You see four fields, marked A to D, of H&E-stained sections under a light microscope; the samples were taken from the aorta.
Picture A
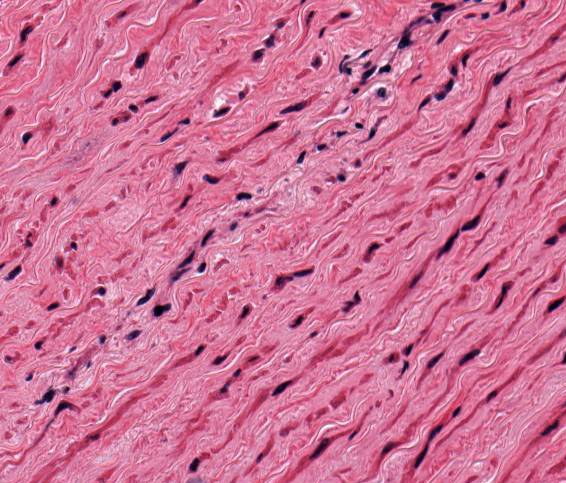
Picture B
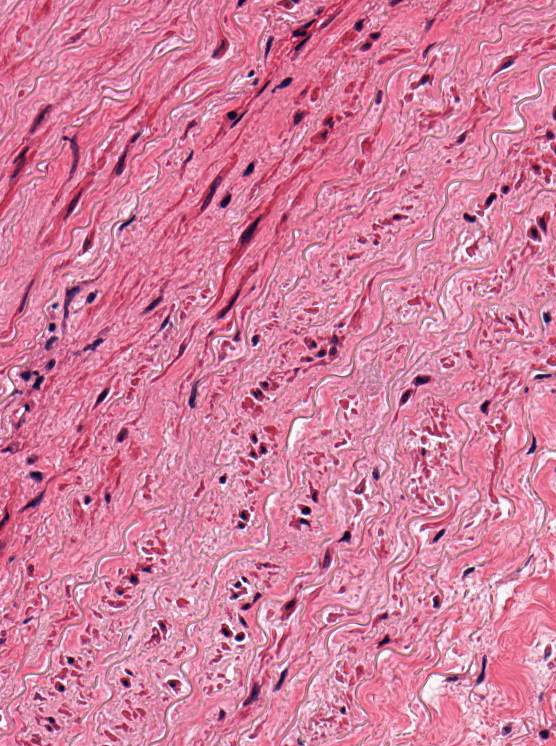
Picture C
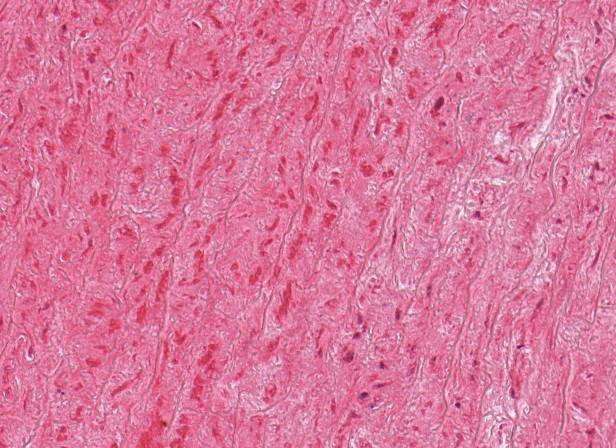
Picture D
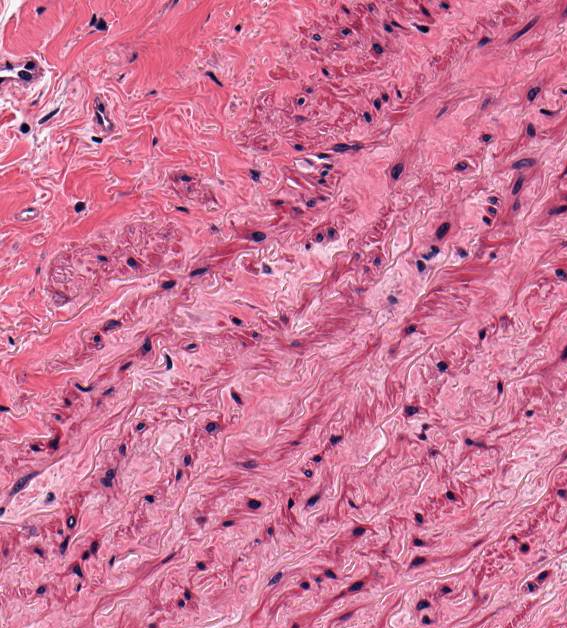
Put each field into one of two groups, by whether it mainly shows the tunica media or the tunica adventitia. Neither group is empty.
A: tunica media
B: tunica media
C: tunica media
D: tunica adventitia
